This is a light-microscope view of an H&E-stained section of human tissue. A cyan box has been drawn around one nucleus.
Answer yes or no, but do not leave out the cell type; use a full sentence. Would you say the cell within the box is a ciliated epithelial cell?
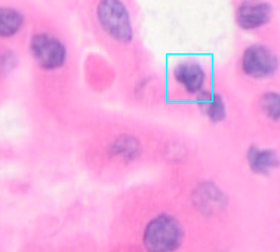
No, as a cell type, the cell within the box is a loop of Henle or distal tubule cell rather than a ciliated epithelial cell.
